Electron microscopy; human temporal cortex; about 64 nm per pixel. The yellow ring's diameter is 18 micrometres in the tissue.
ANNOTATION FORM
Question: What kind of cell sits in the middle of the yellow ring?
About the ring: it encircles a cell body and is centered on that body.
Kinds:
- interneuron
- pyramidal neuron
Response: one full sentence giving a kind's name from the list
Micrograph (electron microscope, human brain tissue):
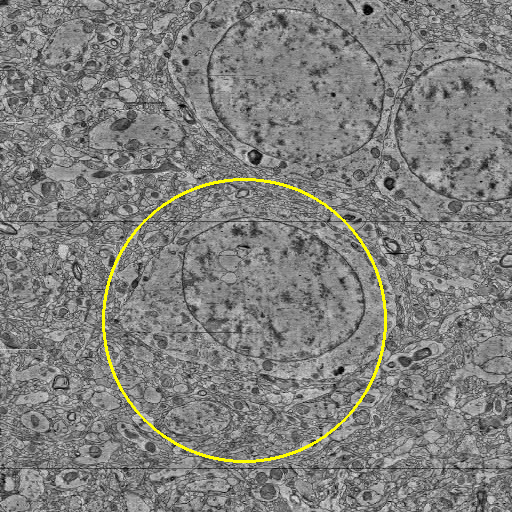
The kind of cell found at the center of the yellow ring in the micrograph is a pyramidal neuron.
